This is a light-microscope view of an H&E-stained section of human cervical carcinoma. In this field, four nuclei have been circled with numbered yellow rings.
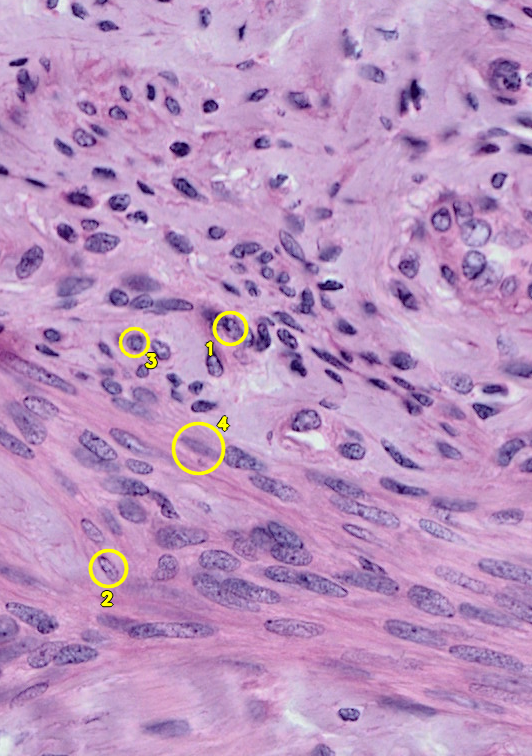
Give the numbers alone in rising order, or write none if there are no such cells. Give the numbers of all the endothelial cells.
1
